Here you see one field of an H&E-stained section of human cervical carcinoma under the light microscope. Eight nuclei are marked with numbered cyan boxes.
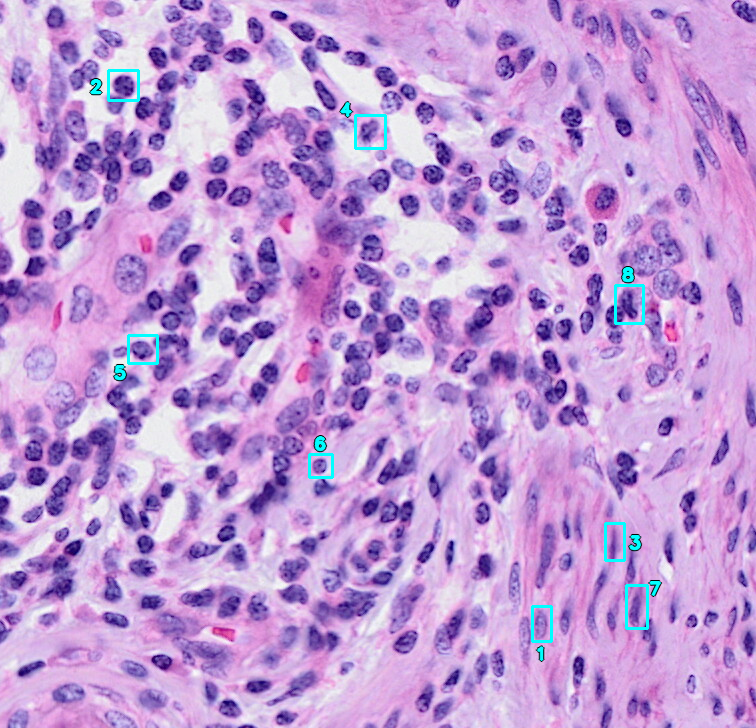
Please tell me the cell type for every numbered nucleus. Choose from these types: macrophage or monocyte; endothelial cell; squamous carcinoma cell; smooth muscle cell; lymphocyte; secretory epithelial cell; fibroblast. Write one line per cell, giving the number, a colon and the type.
1: smooth muscle cell
2: lymphocyte
3: smooth muscle cell
4: lymphocyte
5: lymphocyte
6: lymphocyte
7: smooth muscle cell
8: lymphocyte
